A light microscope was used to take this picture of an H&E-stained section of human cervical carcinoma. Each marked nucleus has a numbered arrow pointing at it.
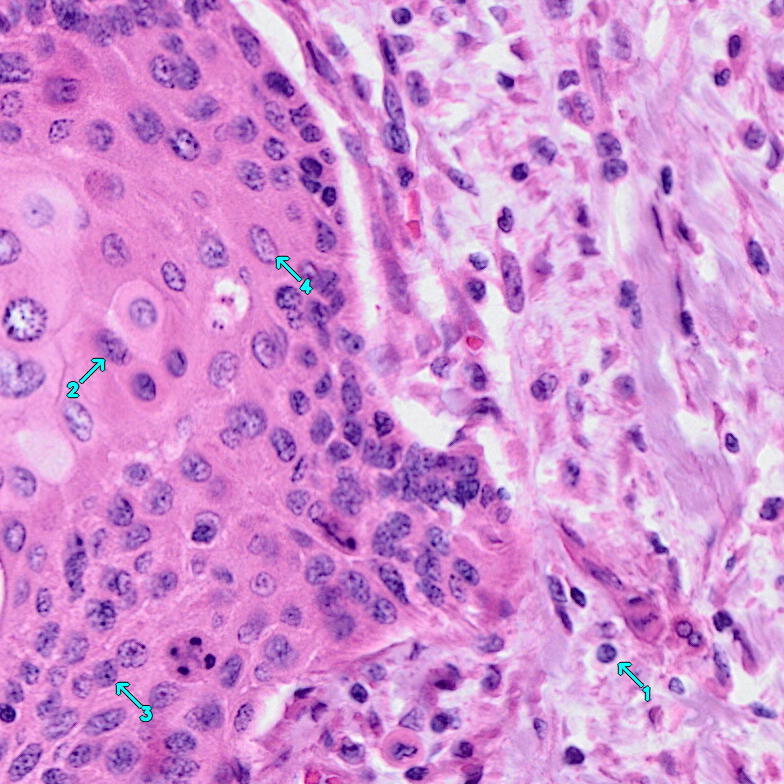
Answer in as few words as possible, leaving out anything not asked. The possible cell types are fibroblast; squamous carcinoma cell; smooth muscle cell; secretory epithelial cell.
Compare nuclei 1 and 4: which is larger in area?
4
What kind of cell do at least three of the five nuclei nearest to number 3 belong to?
squamous carcinoma cell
